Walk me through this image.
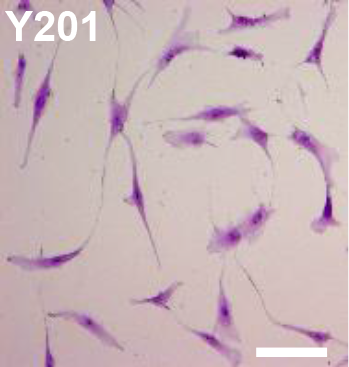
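Sparse stromal cells stained purple lie scattered on a pale background with much empty space between them. The cells are slender and spindle-shaped or irregularly elongated, many drawn out into long, thin, tapering processes that may extend far from the cell body. Each cell body holds a darker purple, oval nucleus, while the surrounding cytoplasm stains paler lilac. Cells are mostly separate from one another, with only occasional contact between their processes, and they show no common orientation.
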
